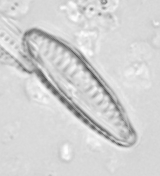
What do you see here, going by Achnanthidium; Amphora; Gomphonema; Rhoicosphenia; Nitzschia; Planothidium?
I see Gomphonema.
